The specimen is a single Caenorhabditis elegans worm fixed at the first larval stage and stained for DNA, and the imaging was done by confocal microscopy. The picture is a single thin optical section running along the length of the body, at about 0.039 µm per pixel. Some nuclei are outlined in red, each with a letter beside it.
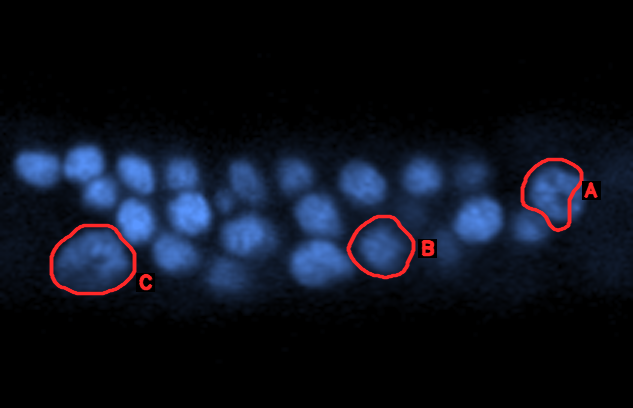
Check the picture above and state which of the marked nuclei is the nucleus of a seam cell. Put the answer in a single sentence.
Nucleus A belongs to a seam cell.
